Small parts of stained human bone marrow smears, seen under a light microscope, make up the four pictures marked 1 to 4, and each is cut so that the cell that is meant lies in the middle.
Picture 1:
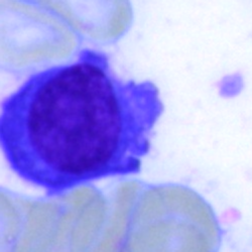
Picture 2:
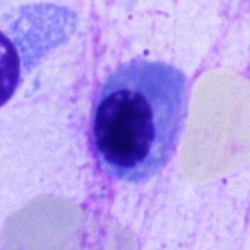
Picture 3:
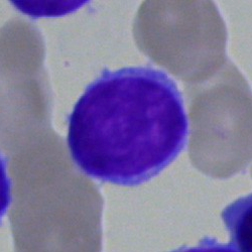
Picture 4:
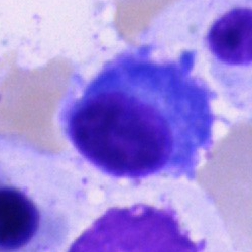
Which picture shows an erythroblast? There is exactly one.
2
